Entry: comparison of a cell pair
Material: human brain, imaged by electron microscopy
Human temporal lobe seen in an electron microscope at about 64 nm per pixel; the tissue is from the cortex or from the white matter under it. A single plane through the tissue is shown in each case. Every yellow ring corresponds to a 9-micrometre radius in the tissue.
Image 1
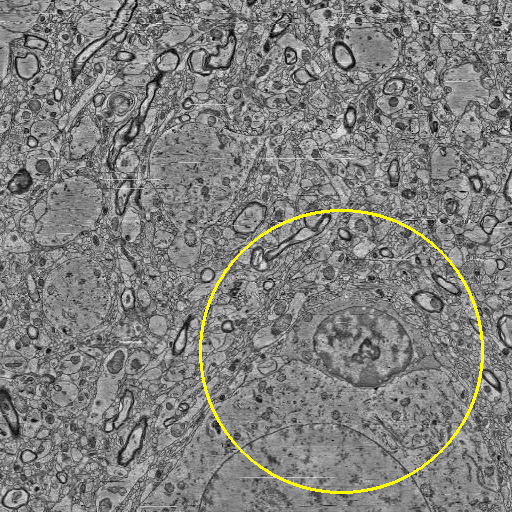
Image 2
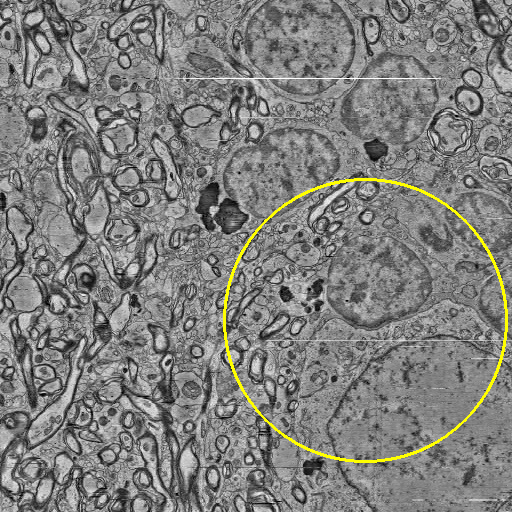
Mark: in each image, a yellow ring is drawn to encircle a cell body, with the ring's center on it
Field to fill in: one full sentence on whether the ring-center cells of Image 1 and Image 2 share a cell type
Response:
Yes, Image 1 and Image 2 each show a ring-center cell of one shared type.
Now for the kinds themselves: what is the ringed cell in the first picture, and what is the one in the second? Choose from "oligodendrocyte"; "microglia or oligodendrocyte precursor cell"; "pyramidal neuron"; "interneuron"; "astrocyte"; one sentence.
Each cell, in the first picture and the second, is an oligodendrocyte.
